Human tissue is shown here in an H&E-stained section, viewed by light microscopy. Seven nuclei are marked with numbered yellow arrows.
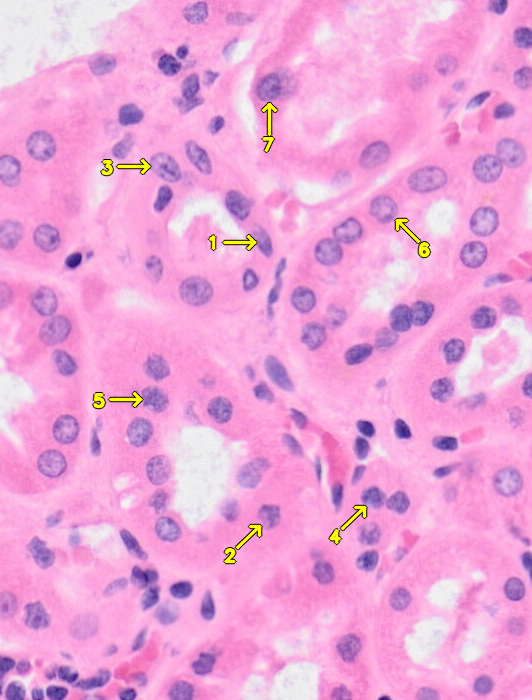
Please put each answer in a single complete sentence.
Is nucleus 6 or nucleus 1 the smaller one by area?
The smaller nucleus is 1, and 6 covers roughly 2 times its area.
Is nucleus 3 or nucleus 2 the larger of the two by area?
Of the two, number 3 is bigger and takes up about 1.5 times the area of number 2.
